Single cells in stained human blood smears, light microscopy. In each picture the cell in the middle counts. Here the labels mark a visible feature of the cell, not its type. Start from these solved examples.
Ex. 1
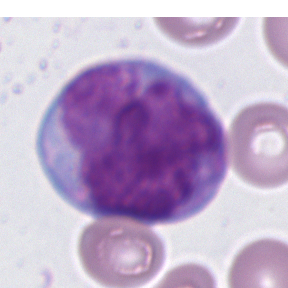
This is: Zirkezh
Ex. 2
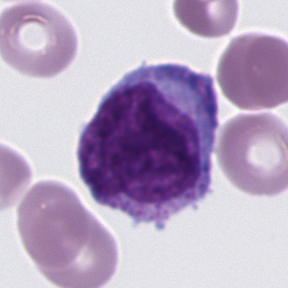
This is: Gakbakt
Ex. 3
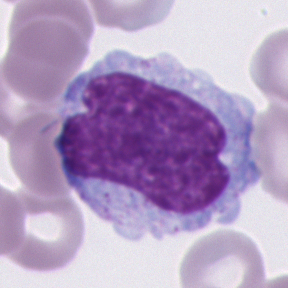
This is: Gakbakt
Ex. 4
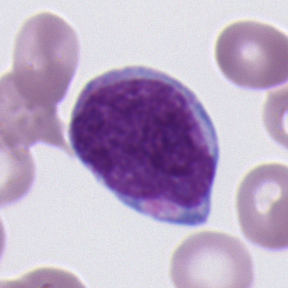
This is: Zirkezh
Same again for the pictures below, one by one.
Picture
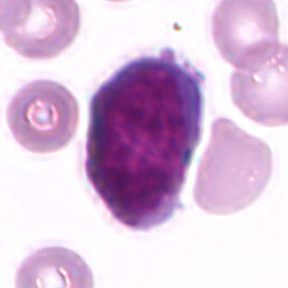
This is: Gakbakt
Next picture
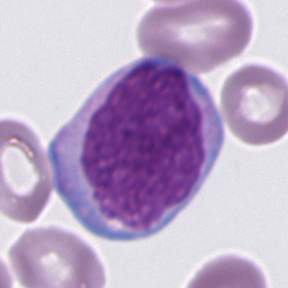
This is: Zirkezh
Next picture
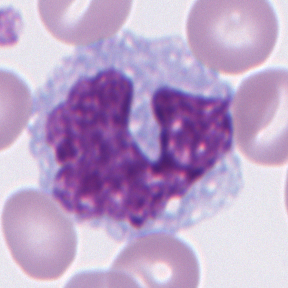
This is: Gakbakt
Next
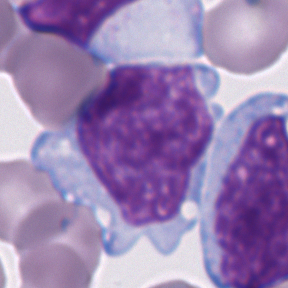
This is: Gakbakt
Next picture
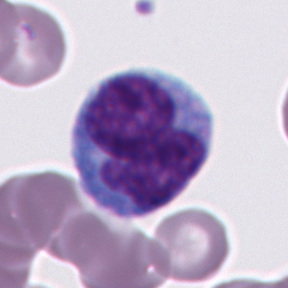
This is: Zirkezh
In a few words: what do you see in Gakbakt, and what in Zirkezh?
Gakbakt, ragged outline or projections; Zirkezh, smooth outline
